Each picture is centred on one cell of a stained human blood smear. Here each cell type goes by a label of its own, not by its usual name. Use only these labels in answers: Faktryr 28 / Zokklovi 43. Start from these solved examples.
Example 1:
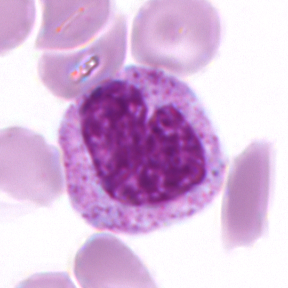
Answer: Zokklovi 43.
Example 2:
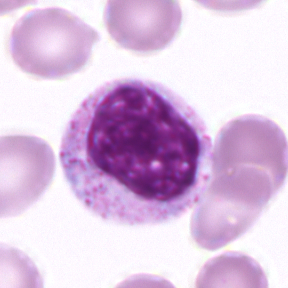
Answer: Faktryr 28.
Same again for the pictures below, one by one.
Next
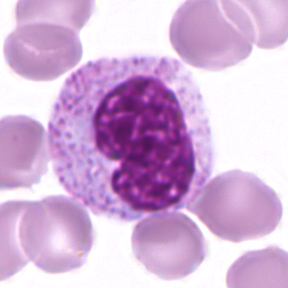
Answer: Zokklovi 43.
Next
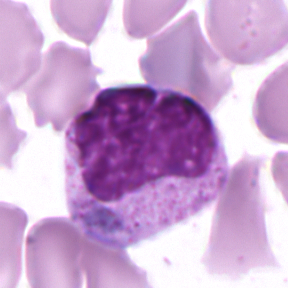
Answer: Zokklovi 43.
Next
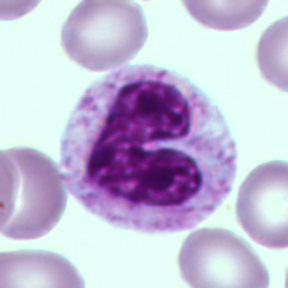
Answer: Zokklovi 43.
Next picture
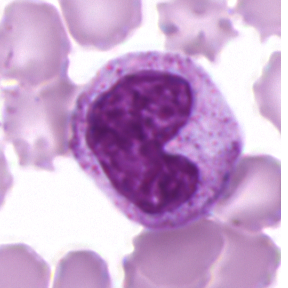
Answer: Faktryr 28.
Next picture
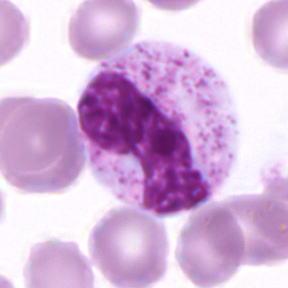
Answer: Zokklovi 43.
